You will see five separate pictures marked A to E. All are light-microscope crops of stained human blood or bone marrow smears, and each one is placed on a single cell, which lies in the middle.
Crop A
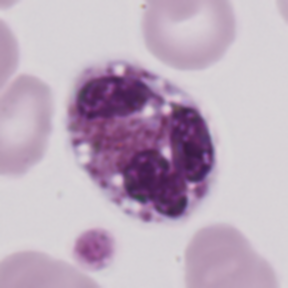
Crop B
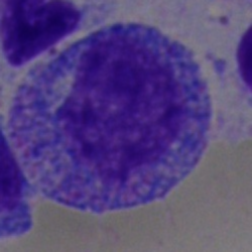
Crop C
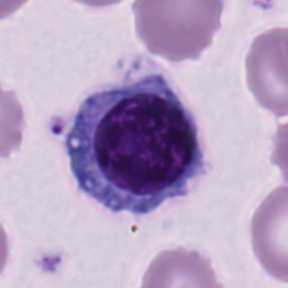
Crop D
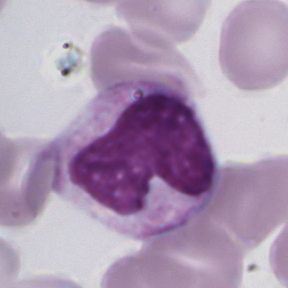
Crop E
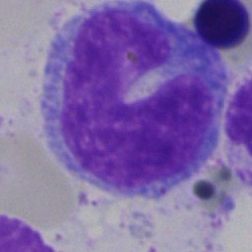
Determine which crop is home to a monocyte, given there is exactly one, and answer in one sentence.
Crop E is the crop that shows a monocyte in its middle.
